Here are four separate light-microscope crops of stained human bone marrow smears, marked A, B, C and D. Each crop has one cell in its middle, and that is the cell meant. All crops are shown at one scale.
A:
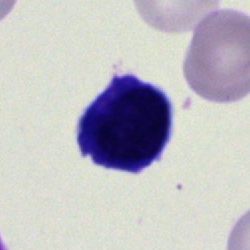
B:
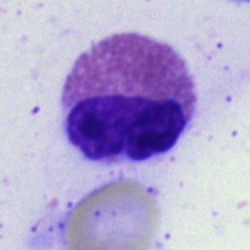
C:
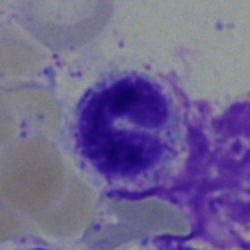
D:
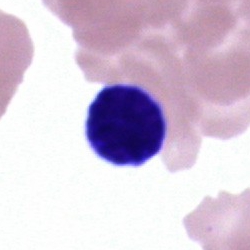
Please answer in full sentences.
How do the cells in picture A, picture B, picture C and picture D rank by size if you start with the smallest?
Going up, they run D, A, C, B.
